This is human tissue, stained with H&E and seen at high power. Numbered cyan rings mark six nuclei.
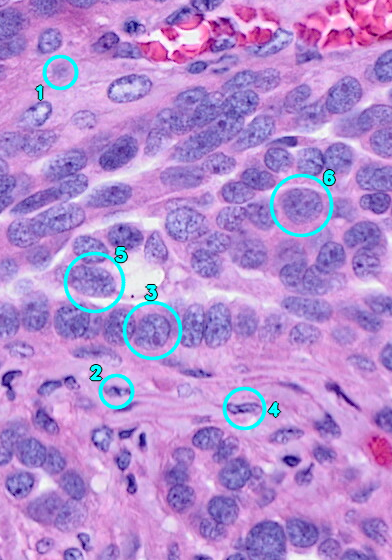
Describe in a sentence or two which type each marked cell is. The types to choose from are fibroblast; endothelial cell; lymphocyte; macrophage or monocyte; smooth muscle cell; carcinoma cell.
Cells 1, 2 and 4 are fibroblasts. Cells 3, 5 and 6 are carcinoma cells.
